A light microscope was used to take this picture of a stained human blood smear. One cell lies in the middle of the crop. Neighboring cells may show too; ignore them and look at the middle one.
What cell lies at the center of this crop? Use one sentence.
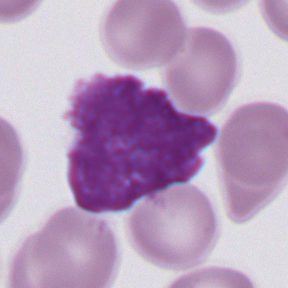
The cell that lies at the centre of the crop is a smudge cell.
